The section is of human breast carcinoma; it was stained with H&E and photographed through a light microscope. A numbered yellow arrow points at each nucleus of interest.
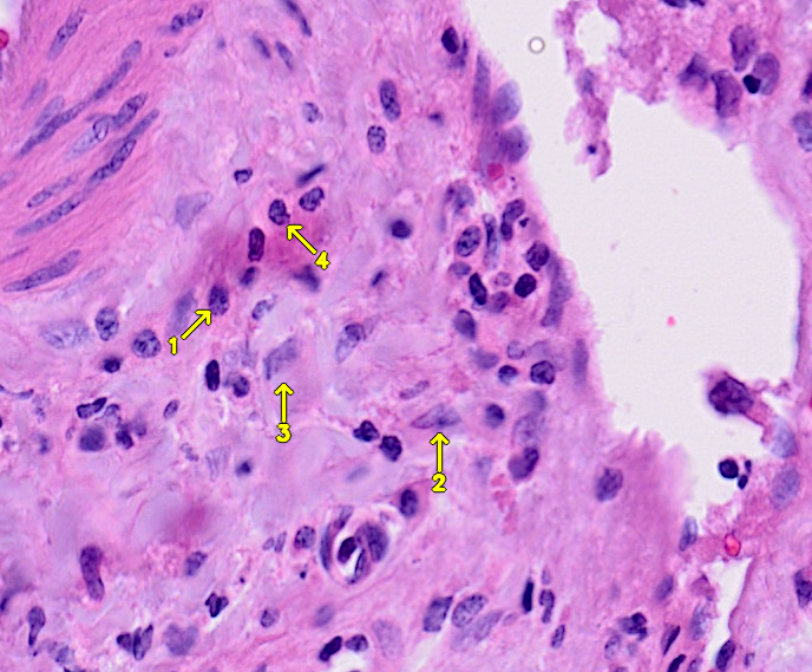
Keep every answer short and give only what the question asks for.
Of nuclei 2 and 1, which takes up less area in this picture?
1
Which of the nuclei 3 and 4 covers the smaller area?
4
